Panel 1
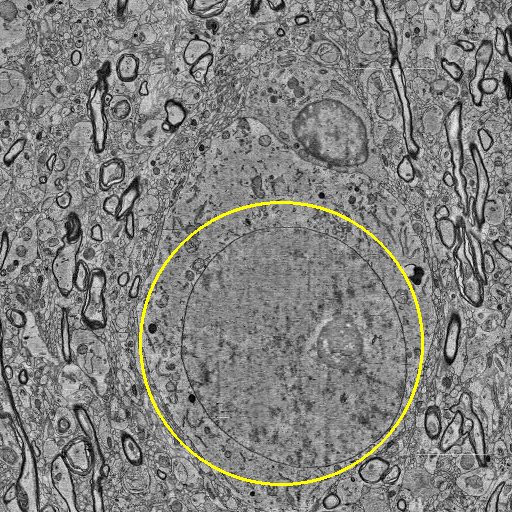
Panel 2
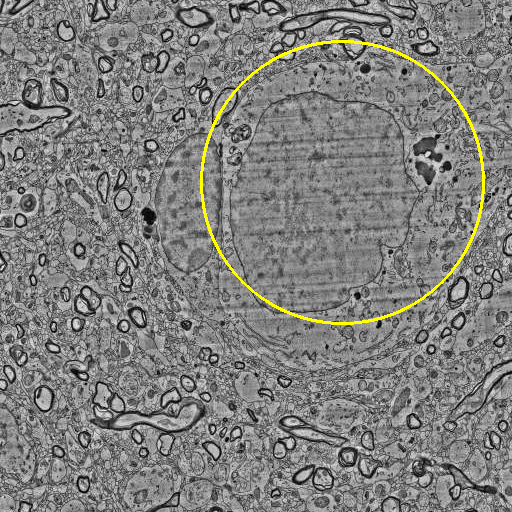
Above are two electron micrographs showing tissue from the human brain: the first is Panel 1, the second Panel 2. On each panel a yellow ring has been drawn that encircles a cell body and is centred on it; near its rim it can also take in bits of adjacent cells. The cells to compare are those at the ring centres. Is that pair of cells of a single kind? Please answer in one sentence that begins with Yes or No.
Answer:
Yes, the ring-centred cells of Panel 1 and Panel 2 belong to one kind.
